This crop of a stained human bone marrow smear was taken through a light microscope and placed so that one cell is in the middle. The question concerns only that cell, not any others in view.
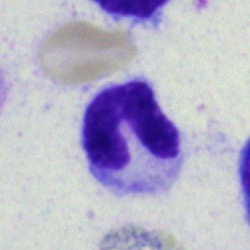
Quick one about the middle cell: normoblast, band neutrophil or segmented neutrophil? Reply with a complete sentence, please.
For this crop, the cell in the middle is a band neutrophil.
